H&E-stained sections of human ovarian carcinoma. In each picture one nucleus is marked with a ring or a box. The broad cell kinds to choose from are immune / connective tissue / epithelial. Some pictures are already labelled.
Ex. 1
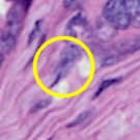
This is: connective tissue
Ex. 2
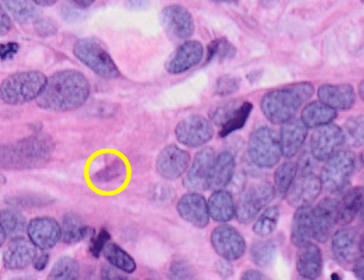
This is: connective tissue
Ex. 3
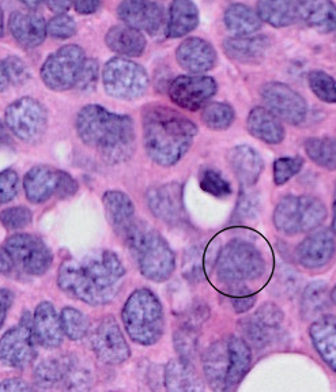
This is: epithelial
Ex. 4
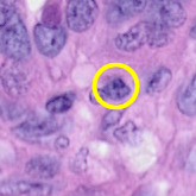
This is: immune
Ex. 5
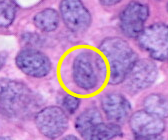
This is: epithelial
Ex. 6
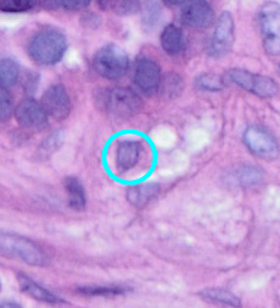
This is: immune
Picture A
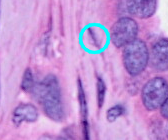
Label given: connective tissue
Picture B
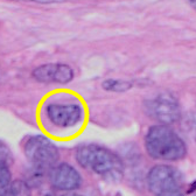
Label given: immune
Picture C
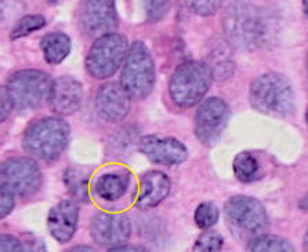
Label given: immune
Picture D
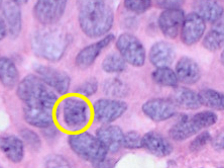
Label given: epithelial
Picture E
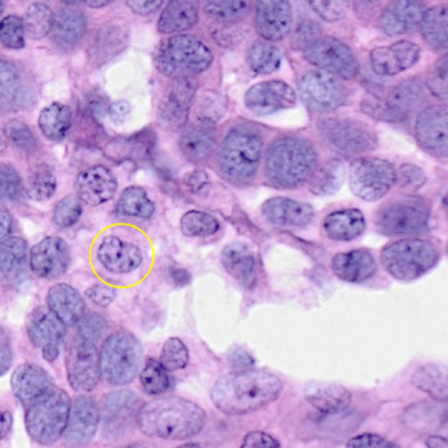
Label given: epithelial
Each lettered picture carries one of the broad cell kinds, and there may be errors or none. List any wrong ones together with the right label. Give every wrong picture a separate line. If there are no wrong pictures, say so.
E: change epithelial to immune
